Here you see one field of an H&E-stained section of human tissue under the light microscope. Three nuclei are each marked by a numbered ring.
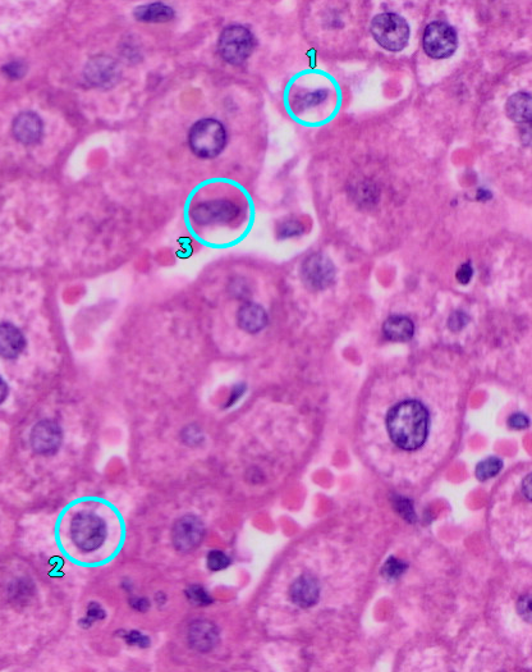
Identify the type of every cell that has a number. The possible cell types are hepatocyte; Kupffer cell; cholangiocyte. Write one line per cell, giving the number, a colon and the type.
1: Kupffer cell
2: hepatocyte
3: Kupffer cell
